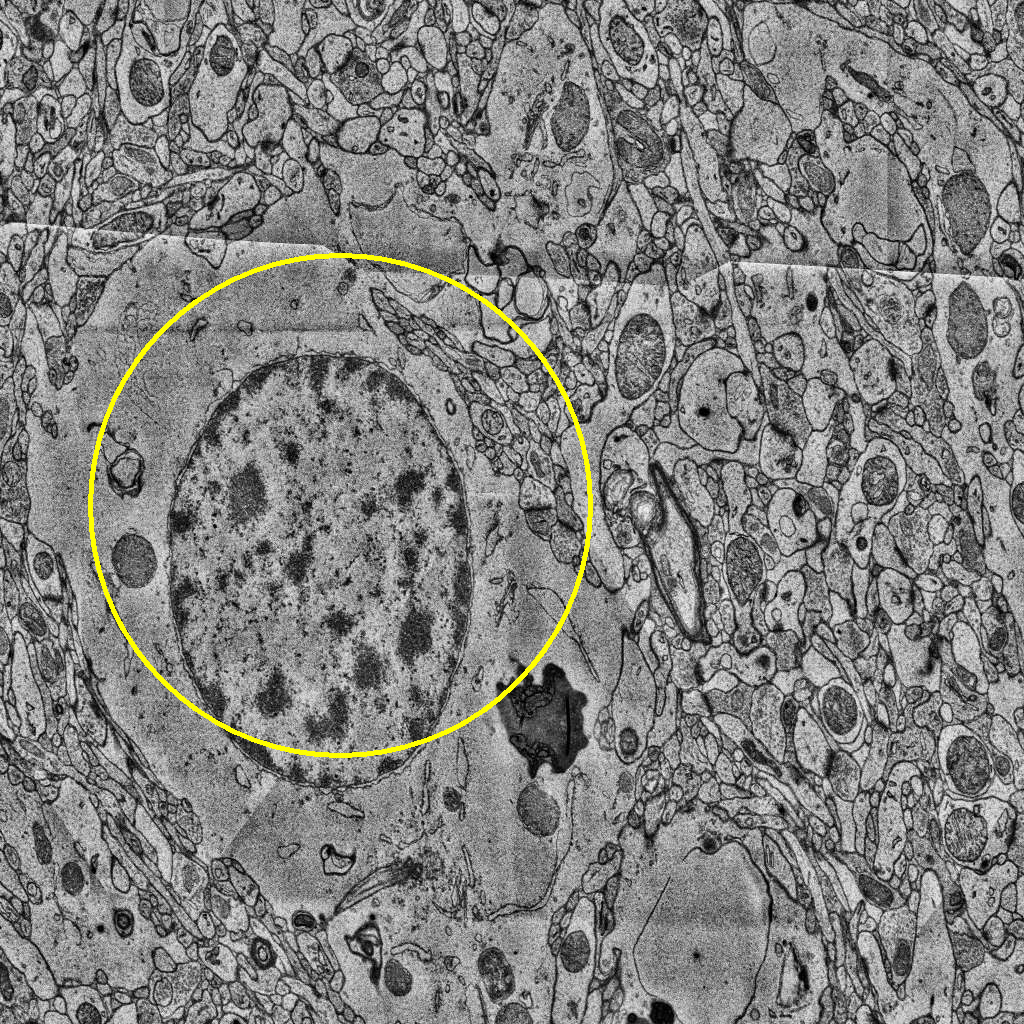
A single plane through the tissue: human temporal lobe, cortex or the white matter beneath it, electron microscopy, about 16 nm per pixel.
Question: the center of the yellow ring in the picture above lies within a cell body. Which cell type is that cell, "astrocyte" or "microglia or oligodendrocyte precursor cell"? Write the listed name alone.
astrocyte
